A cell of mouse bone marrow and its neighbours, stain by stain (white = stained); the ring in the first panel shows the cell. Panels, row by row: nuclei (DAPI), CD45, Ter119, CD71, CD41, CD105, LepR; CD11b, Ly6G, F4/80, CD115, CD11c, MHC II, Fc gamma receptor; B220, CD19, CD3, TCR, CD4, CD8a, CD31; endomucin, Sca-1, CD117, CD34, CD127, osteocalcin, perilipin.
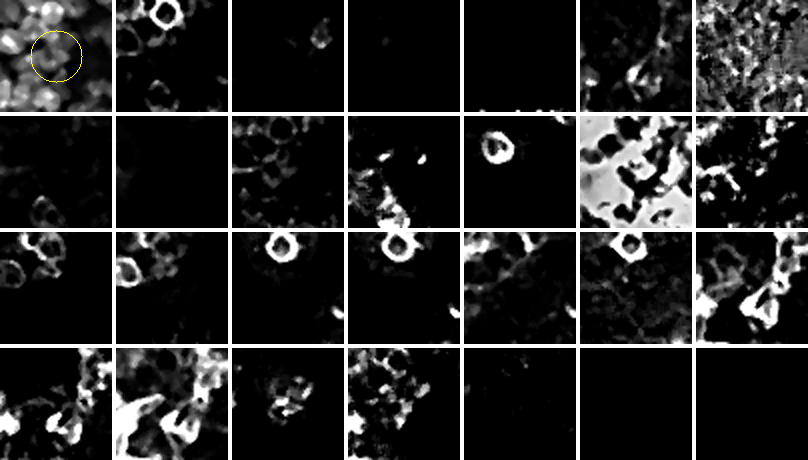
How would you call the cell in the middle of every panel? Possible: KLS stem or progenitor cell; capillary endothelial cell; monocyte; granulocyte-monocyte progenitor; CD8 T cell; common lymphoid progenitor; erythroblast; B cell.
I would call it a KLS stem or progenitor cell.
